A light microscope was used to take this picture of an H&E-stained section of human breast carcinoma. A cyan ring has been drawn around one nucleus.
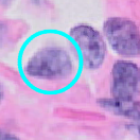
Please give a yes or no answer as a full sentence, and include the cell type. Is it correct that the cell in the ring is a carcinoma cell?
Yes, the cell in the ring is, by type, a carcinoma cell.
